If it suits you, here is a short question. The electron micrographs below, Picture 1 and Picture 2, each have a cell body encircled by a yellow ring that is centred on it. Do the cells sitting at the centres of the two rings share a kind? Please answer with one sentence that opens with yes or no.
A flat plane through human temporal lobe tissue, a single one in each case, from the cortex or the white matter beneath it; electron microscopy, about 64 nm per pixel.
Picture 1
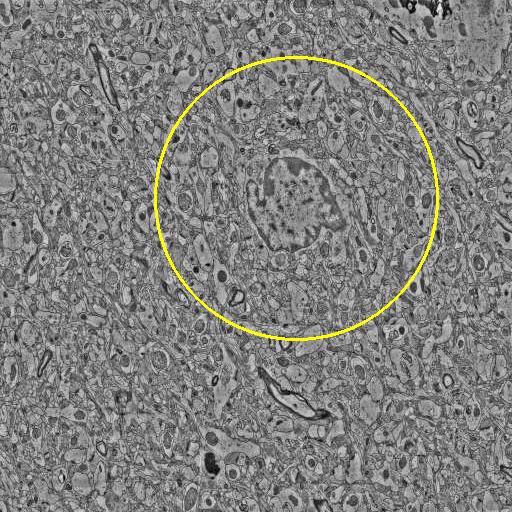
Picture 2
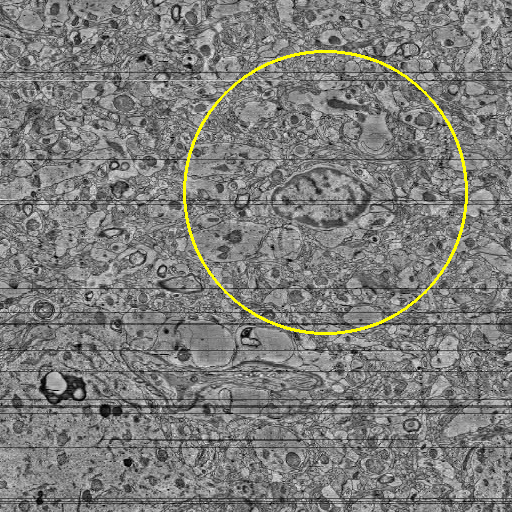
Yes, the two cells sitting at the ring centres share a single kind.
